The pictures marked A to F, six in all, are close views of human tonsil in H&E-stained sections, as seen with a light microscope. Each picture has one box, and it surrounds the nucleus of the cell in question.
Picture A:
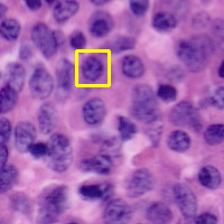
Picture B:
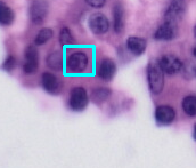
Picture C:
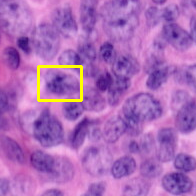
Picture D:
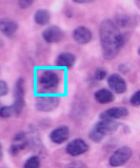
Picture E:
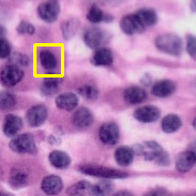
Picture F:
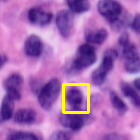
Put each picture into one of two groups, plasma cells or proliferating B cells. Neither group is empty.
A: plasma cell
B: plasma cell
C: proliferating B cell
D: plasma cell
E: plasma cell
F: proliferating B cell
